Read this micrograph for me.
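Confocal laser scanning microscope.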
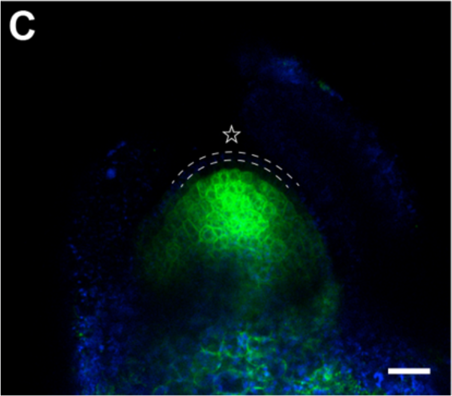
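This is a shoot apical meristem, a dome of small, densely packed cells with thin, regular cell walls. Green fluorescence fills the interior of the dome, brightest in a core below the tip. The outermost cell layer, lying between the dashed lines, and the layer just beneath it at the top are largely free of green. Larger cells with blue speckled fluorescence lie at the flanks and base of the dome.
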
